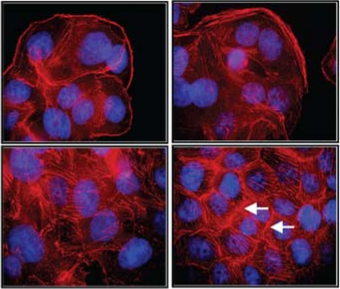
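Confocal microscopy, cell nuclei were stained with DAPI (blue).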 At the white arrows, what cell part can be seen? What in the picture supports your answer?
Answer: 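Sub-cortical actin. The white arrows point to red filament lines running along the borders where neighbouring cells meet. The red lines lie just under the cell edges, between the blue nuclei of adjacent cells.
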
